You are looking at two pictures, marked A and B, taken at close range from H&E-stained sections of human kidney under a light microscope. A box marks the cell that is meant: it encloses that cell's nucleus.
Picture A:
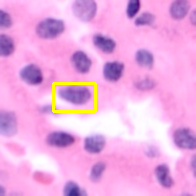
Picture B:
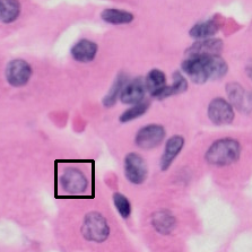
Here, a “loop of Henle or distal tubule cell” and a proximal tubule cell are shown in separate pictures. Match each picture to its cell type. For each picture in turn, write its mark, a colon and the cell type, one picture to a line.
A: loop of Henle or distal tubule cell
B: proximal tubule cell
